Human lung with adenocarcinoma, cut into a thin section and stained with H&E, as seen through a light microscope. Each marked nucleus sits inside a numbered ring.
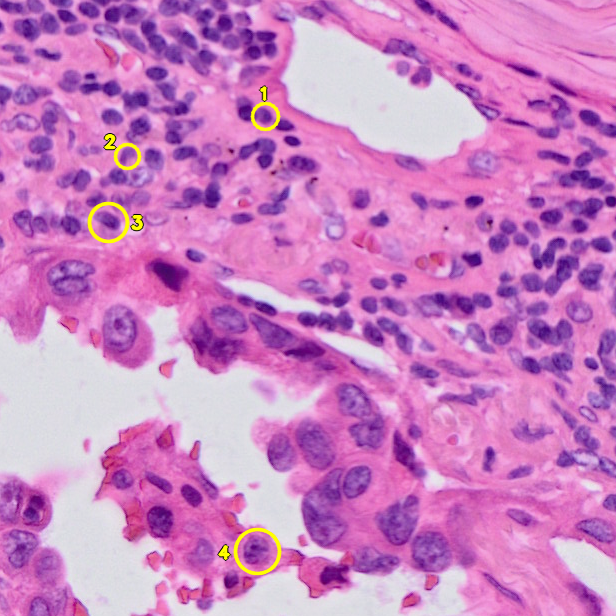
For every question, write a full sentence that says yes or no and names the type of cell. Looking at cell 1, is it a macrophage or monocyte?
No, cell 1 is not a macrophage or monocyte; a lymphocyte is correct.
